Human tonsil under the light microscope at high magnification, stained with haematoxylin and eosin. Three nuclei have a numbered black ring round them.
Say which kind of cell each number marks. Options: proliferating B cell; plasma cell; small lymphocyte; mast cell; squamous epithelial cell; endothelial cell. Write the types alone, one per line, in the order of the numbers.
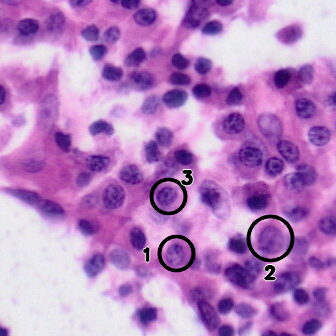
plasma cell
squamous epithelial cell
plasma cell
